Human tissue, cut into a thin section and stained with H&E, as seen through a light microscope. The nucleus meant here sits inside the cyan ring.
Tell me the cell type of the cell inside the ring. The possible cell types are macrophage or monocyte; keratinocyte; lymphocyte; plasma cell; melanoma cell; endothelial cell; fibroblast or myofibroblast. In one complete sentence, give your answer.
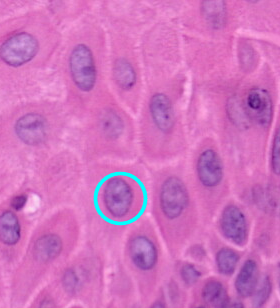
Right, so the cell inside the ring is a keratinocyte, to answer that.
